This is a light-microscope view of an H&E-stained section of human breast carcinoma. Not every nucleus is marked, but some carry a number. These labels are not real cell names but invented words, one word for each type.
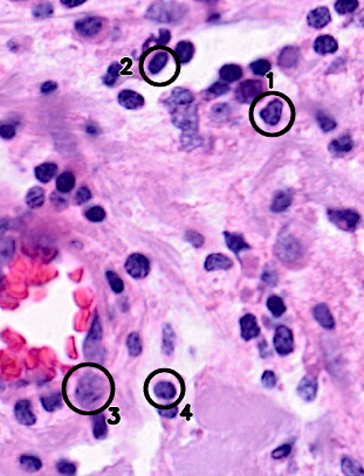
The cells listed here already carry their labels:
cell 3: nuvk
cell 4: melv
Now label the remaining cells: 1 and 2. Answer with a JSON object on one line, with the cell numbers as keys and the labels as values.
{"1": "melv", "2": "melv"}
